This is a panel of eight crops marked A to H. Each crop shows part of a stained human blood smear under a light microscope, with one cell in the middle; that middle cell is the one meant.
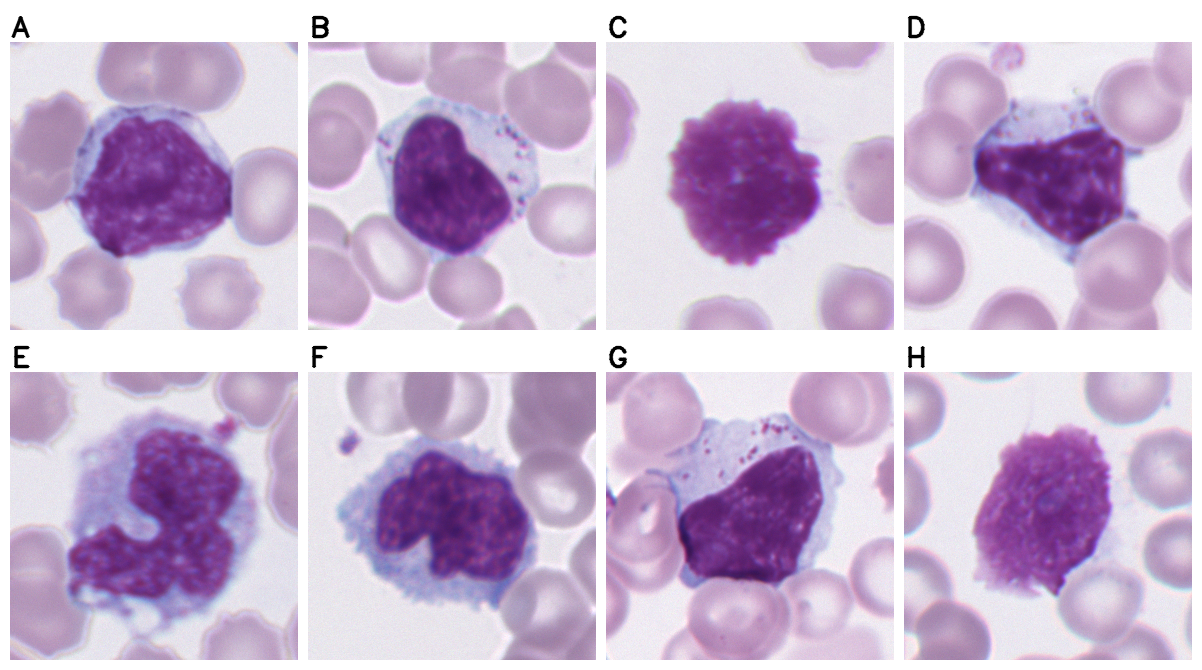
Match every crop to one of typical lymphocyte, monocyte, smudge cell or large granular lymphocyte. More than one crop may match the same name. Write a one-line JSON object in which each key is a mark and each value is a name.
{"A": "typical lymphocyte", "B": "large granular lymphocyte", "C": "smudge cell", "D": "large granular lymphocyte", "E": "monocyte", "F": "monocyte", "G": "large granular lymphocyte", "H": "smudge cell"}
